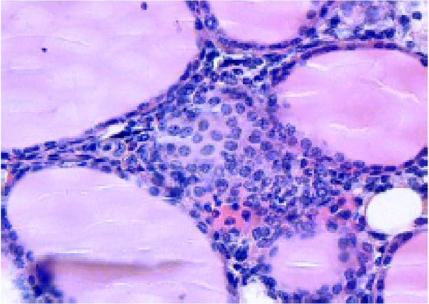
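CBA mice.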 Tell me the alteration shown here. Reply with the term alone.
mononuclear cell infiltration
